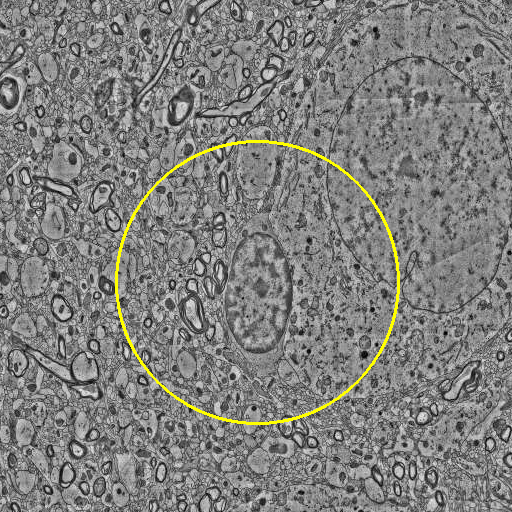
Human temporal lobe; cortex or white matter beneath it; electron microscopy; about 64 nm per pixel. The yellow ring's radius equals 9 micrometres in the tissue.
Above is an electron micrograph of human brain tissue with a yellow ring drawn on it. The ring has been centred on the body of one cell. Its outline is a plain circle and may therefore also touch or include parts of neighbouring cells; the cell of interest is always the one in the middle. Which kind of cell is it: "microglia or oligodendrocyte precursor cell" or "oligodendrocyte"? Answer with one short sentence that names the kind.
The ring's central cell body is that of an oligodendrocyte.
